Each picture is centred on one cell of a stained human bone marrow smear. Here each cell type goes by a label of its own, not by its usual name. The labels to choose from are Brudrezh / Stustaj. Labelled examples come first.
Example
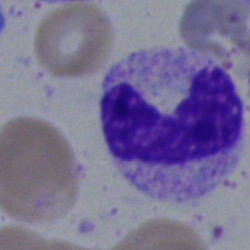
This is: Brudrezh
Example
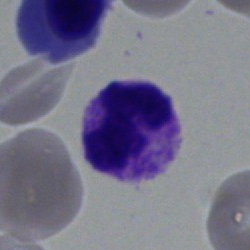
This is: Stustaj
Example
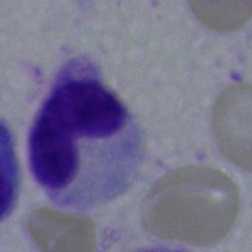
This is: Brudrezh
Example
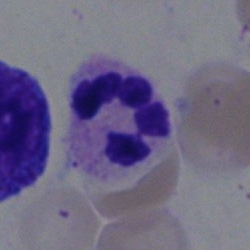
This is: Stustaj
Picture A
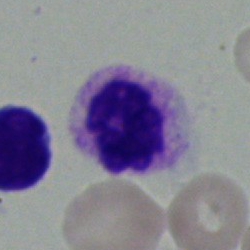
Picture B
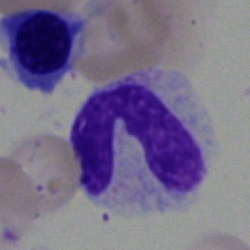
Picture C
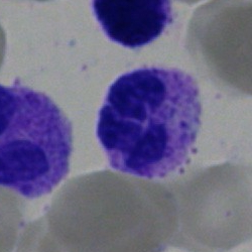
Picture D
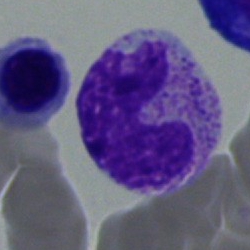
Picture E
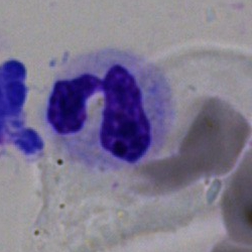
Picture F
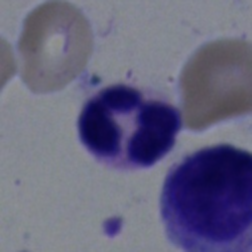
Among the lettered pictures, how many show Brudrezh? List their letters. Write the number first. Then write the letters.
2, namely B, D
